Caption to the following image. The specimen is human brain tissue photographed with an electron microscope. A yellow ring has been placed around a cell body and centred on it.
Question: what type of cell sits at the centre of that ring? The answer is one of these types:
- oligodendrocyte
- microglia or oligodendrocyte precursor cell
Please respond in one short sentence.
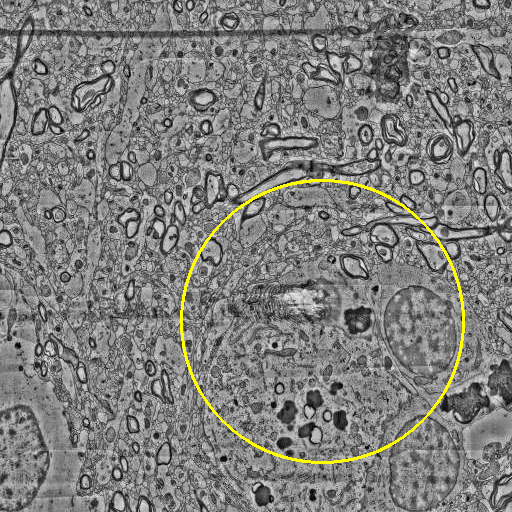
The ring surrounds the cell body of an oligodendrocyte.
